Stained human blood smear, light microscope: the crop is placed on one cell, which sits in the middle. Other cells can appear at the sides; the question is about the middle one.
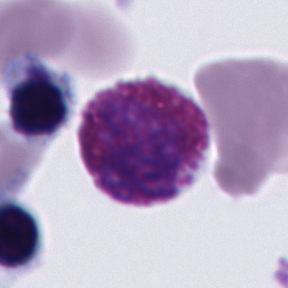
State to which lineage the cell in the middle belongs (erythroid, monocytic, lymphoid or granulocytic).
granulocytic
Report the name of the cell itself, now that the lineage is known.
eosinophil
